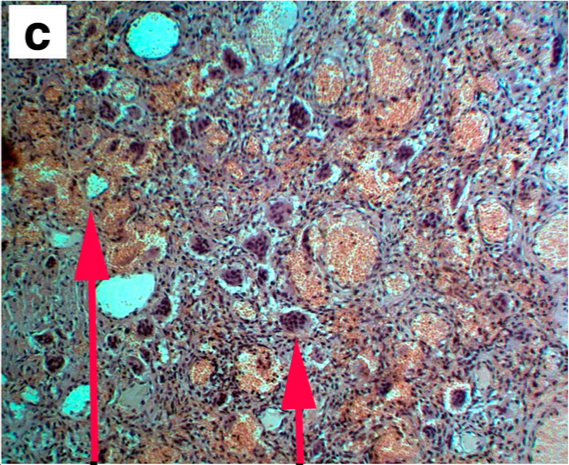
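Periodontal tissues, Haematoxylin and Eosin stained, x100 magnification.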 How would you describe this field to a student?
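Connective tissue with extensive hemorrhage and many giant cells. Large patches of orange-red red blood cells lie between strands of spindle-shaped stromal cells. Numerous large cells with several dark purple nuclei are scattered through the stroma, often beside the blood-filled areas. A few empty, round pale spaces are also present.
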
